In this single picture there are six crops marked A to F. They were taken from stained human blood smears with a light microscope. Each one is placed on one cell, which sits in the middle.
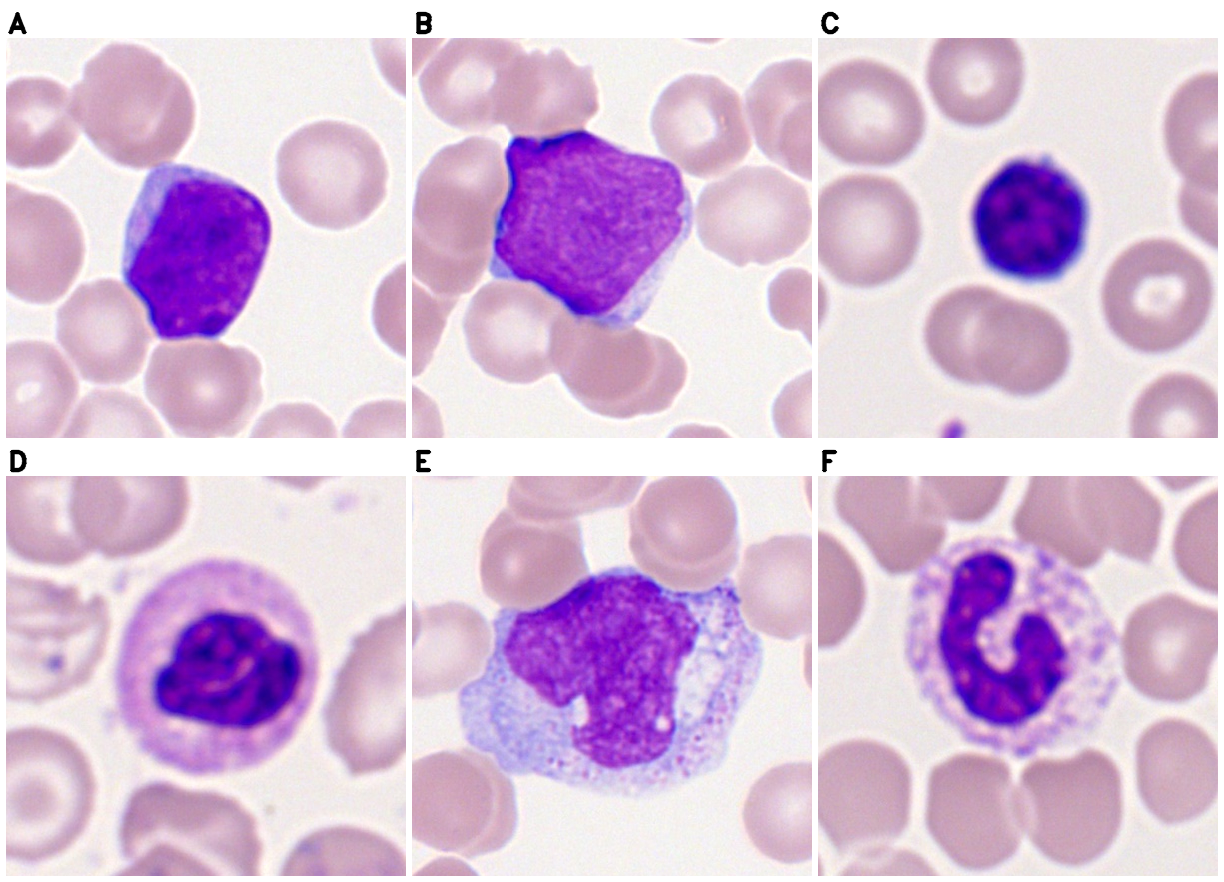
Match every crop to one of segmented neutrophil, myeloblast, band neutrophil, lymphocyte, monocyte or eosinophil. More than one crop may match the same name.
A: myeloblast
B: myeloblast
C: lymphocyte
D: segmented neutrophil
E: monocyte
F: band neutrophil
